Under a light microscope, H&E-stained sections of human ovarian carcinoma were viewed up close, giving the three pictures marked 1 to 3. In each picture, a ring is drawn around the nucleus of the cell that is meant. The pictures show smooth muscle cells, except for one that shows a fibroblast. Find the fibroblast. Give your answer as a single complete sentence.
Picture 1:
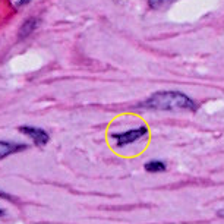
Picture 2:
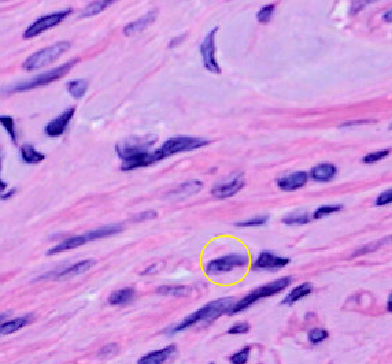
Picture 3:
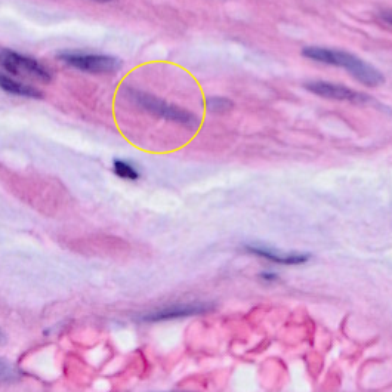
The picture with the fibroblast is 1.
